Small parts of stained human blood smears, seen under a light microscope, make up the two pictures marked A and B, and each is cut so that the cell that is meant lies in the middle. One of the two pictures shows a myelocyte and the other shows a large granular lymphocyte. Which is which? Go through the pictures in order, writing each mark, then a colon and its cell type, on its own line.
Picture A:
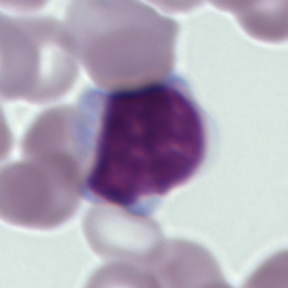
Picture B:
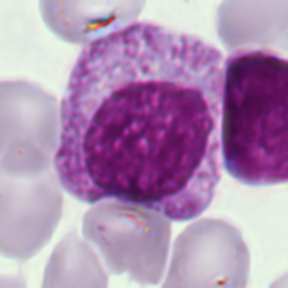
A: large granular lymphocyte
B: myelocyte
